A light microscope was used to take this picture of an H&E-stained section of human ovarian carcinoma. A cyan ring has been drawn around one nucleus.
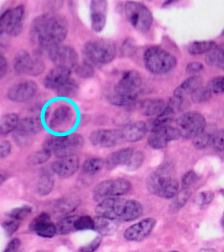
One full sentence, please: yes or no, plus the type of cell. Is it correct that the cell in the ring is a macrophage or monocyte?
No, mark the cell in the ring as a carcinoma cell, not as a macrophage or monocyte.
